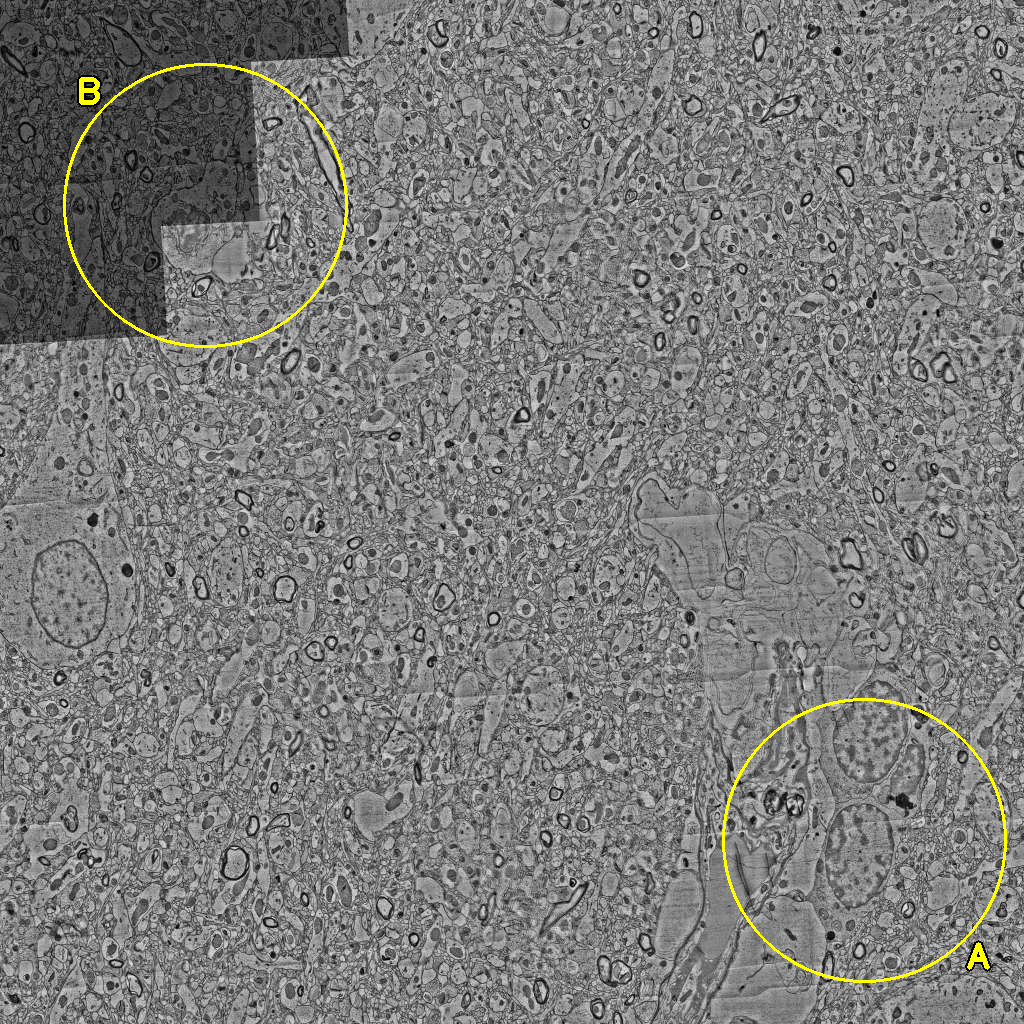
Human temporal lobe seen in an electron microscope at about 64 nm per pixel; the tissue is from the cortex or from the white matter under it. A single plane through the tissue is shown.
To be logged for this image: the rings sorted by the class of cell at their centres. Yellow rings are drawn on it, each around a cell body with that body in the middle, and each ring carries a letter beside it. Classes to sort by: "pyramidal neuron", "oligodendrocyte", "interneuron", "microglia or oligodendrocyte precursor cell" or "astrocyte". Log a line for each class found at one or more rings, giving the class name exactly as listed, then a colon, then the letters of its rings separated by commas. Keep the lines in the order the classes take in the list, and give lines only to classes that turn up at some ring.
oligodendrocyte: A
interneuron: B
